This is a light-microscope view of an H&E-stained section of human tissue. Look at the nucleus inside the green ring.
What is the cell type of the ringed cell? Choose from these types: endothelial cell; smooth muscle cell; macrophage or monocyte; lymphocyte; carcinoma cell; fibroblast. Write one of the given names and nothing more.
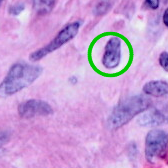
lymphocyte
